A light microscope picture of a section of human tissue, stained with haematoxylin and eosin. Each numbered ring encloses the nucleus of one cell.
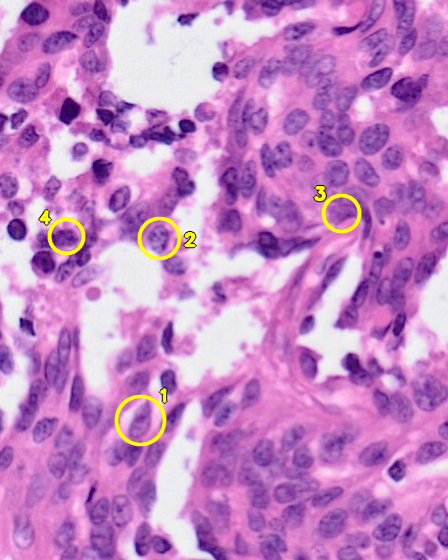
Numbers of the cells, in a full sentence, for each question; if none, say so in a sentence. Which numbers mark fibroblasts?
No representatives of fibroblasts are found among the numbered cells.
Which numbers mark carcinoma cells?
The cells labelled 1, 3 and 4 in this section are carcinoma cells.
